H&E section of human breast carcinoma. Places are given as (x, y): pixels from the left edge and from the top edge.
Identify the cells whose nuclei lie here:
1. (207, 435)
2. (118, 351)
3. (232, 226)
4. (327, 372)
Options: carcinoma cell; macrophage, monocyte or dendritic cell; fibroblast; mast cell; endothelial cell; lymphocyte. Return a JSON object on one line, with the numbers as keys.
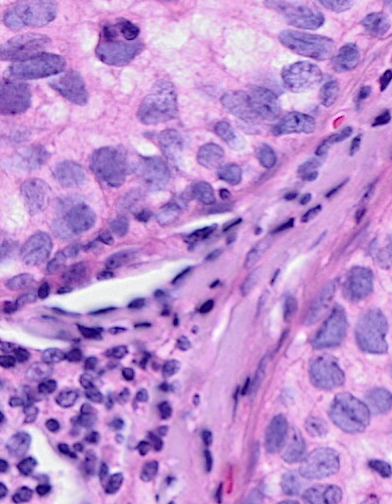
{"1": "lymphocyte", "2": "lymphocyte", "3": "lymphocyte", "4": "carcinoma cell"}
